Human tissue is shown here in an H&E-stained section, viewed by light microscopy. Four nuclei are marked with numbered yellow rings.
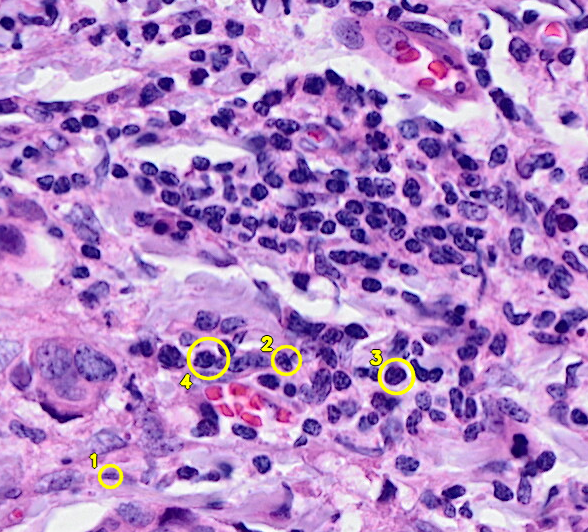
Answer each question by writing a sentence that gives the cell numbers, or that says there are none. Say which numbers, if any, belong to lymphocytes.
Identified as lymphocytes are the cells numbered 2, 3 and 4.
